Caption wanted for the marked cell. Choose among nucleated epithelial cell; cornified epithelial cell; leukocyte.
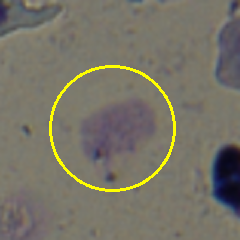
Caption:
Ringed in yellow is a cornified epithelial cell.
